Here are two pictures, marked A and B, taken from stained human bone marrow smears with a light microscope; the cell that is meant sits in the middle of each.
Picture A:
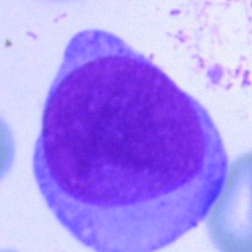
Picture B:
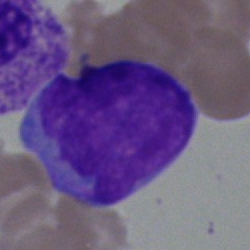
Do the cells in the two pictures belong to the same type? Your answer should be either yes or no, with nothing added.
yes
